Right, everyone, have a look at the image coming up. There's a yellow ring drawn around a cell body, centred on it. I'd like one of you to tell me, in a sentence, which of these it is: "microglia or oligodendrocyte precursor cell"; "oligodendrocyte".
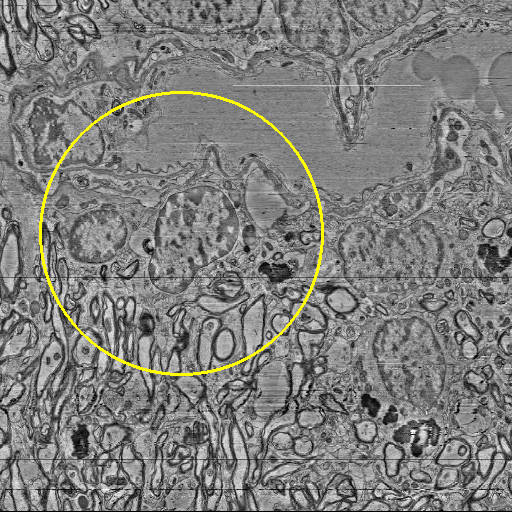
The yellow ring sits on a microglial cell or oligodendrocyte precursor cell.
